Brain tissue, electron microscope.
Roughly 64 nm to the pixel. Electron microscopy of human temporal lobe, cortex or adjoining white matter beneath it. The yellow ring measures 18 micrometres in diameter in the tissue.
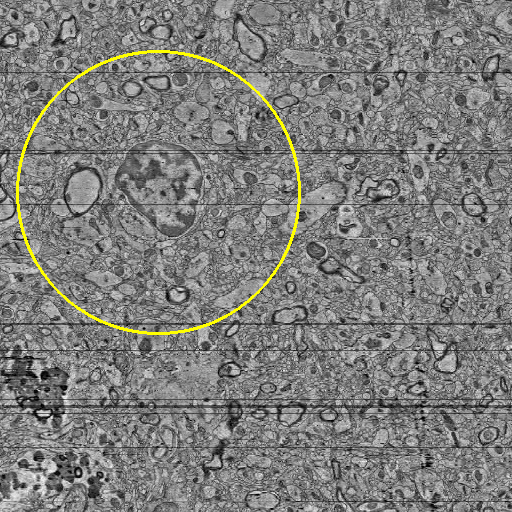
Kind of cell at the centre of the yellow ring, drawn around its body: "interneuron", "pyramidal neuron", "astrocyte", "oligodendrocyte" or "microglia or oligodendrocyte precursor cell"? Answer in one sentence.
The ring's centre falls on a microglial cell or oligodendrocyte precursor cell.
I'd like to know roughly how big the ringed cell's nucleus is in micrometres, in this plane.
The nucleus works out at approximately 6 by 5 micrometres in this plane.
